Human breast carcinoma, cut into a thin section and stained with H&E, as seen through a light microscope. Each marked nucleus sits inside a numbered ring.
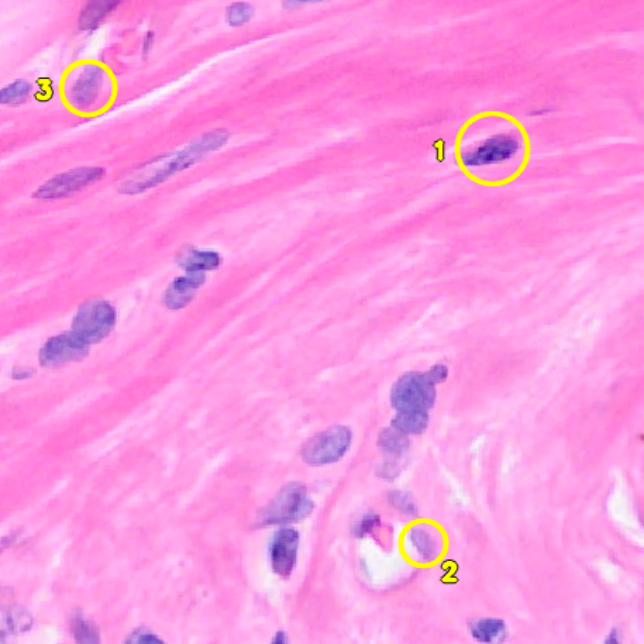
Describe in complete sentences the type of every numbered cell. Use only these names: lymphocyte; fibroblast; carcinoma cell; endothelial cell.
Cell 1 is a lymphocyte, cell 2 is an endothelial cell and cell 3 is an endothelial cell.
